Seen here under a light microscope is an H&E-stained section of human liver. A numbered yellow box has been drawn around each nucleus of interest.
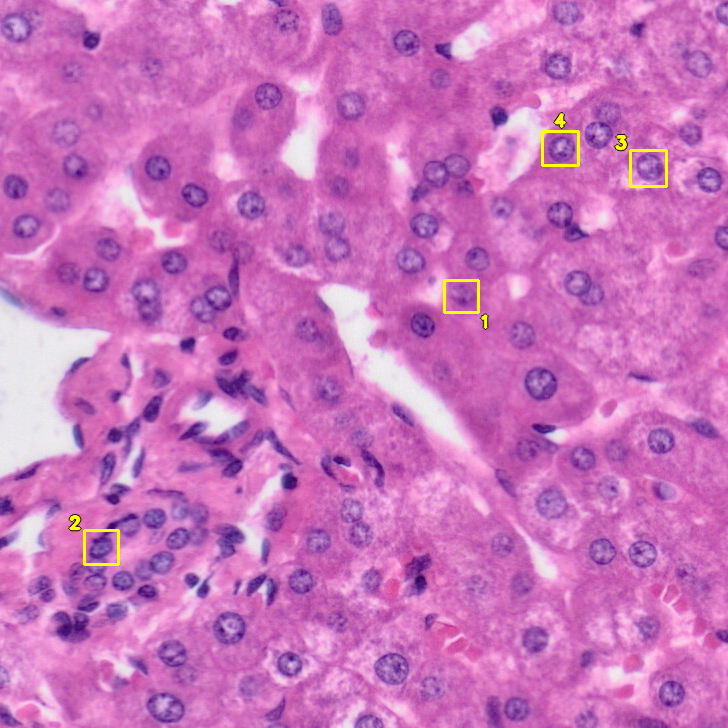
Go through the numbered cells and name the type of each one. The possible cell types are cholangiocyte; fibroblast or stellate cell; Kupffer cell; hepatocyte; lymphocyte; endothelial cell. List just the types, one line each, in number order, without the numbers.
hepatocyte
cholangiocyte
hepatocyte
hepatocyte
